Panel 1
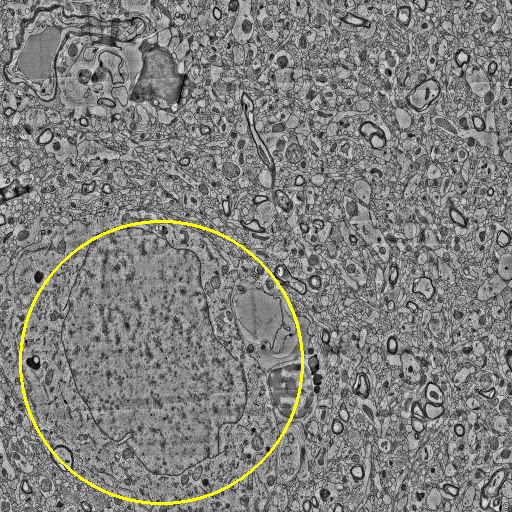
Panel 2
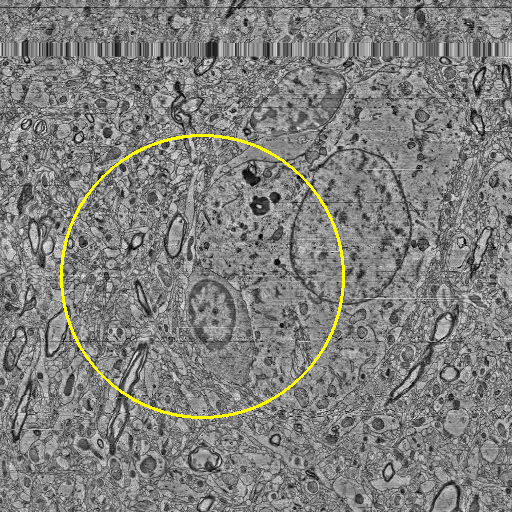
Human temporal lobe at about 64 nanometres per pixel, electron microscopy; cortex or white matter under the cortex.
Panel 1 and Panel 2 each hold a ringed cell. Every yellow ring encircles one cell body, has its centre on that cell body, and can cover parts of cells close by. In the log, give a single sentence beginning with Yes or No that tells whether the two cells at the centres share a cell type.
No, in Panel 1 and Panel 2 the centred cells are of two cell types.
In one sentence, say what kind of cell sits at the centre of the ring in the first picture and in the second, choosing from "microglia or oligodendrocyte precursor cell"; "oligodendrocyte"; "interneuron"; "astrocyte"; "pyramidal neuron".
The first picture's ringed cell is a pyramidal neuron, while the second picture's is an oligodendrocyte.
